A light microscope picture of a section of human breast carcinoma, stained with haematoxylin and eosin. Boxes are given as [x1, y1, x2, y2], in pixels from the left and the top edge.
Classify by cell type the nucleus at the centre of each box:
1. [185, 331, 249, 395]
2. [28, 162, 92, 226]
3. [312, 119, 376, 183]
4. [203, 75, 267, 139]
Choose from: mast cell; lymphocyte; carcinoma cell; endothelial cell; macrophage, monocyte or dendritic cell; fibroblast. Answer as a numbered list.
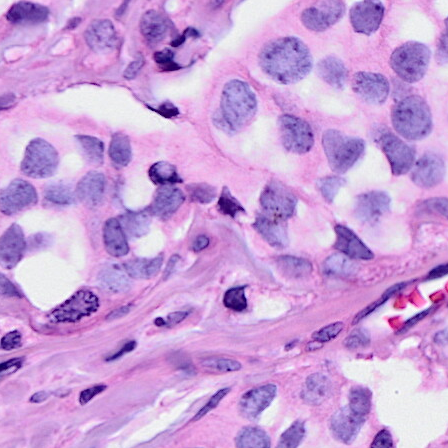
1. endothelial cell
2. carcinoma cell
3. carcinoma cell
4. carcinoma cell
